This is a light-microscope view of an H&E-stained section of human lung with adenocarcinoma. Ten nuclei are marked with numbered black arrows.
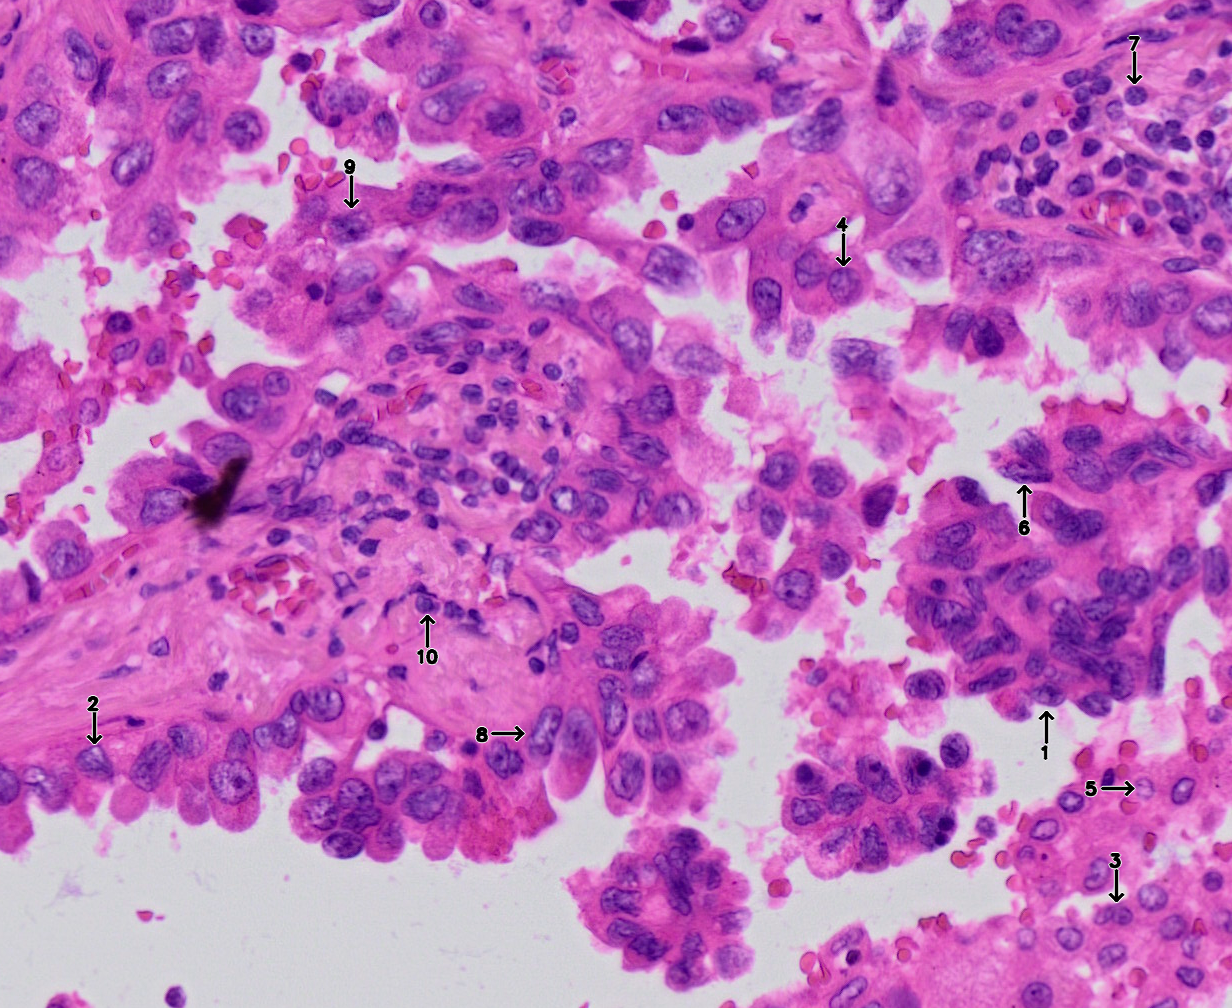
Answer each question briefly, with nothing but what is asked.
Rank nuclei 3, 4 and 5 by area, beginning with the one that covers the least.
5, 3, 4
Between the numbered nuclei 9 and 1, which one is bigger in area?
9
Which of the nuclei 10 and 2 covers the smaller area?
10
